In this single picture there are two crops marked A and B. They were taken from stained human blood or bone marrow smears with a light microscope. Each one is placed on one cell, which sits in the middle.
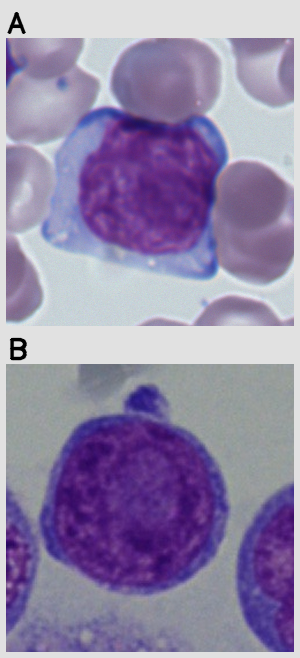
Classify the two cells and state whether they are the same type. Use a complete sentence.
Yes, as for both crops, the cells shown are blasts.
